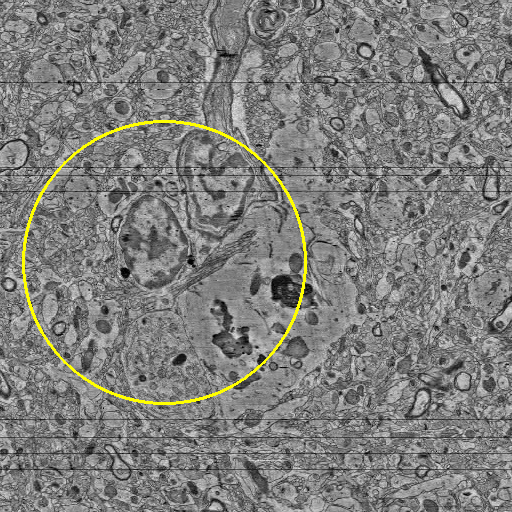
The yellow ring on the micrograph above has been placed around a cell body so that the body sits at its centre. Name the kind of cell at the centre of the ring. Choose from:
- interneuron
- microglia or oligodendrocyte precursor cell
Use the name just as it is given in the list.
microglia or oligodendrocyte precursor cell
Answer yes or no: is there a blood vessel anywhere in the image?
Yes, a blood vessel shows in the picture.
